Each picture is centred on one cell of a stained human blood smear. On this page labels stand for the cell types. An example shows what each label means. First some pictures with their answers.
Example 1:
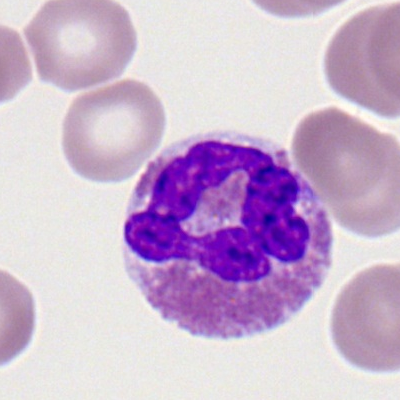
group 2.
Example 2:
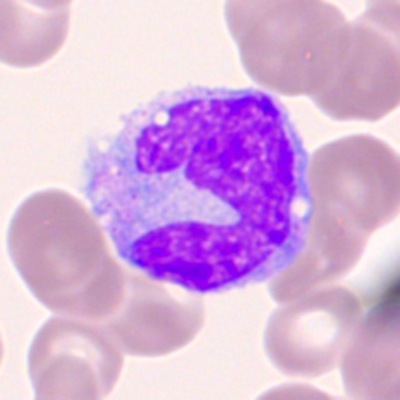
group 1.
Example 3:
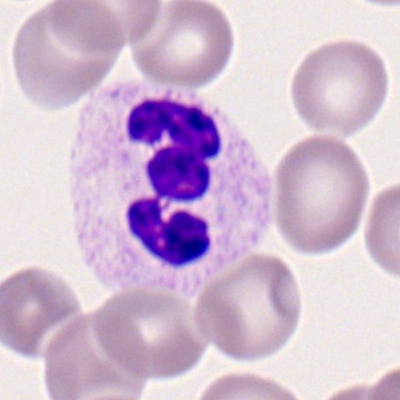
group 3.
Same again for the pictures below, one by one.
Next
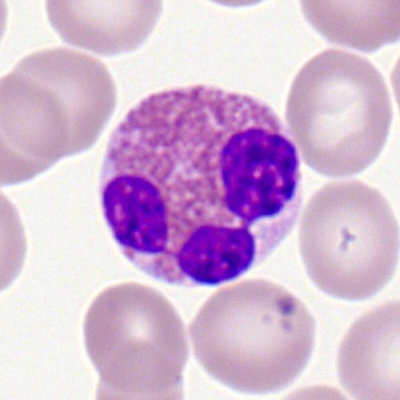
group 2.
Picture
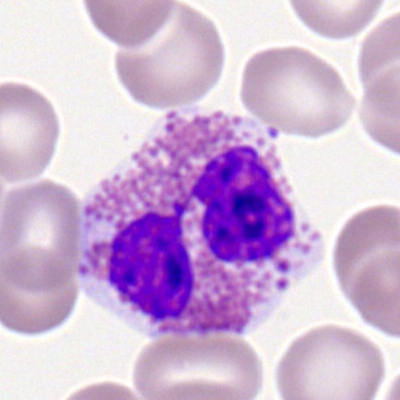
group 2.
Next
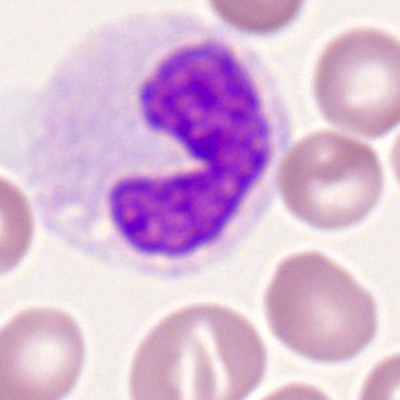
group 1.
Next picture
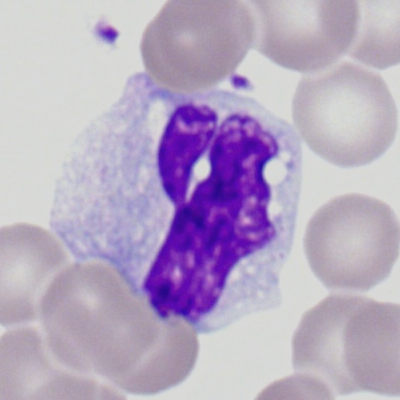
group 1.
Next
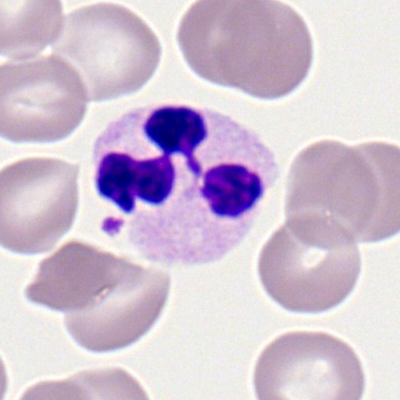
group 3.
